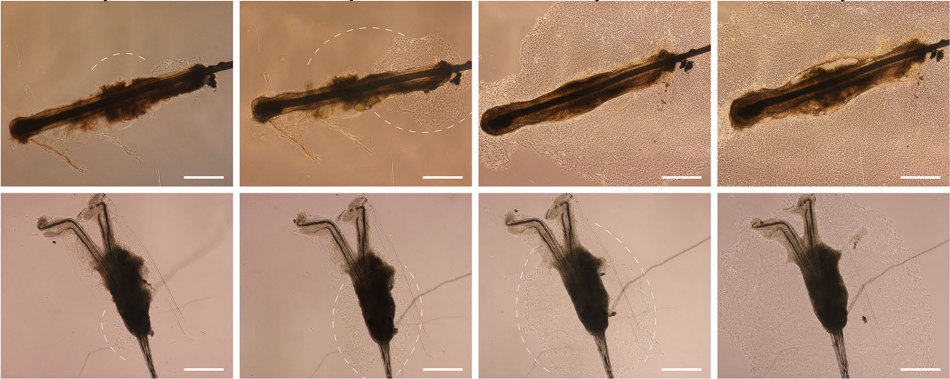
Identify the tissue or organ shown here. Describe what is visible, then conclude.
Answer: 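Each image shows a dark, elongated structure with a bulb-shaped end. A hair shaft runs along the structure and projects from one end. On this evidence: hair follicles.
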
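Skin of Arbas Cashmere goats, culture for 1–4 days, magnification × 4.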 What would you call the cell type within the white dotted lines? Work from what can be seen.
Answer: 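Migrated cells. A pale, thin sheet spreads out from the dark follicle into the dish.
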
